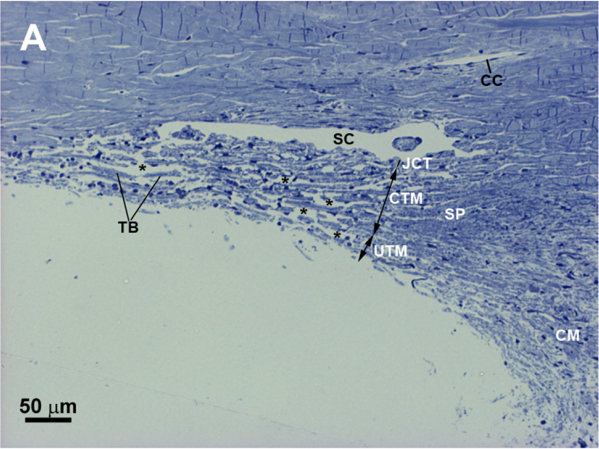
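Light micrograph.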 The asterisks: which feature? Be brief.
Intertrabecular spaces.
